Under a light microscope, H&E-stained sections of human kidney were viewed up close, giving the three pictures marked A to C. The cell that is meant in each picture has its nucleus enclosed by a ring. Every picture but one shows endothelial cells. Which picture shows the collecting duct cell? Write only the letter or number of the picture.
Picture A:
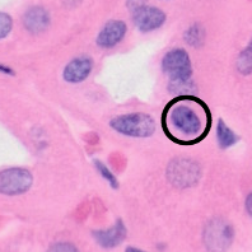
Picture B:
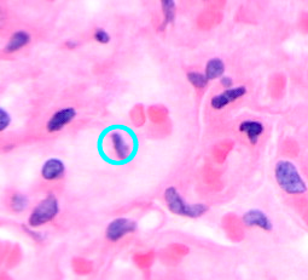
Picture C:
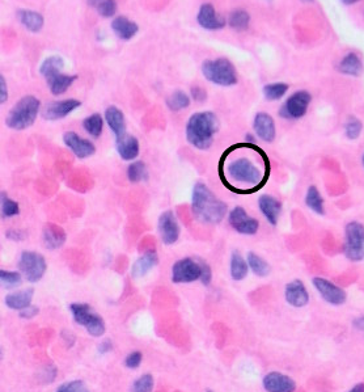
A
